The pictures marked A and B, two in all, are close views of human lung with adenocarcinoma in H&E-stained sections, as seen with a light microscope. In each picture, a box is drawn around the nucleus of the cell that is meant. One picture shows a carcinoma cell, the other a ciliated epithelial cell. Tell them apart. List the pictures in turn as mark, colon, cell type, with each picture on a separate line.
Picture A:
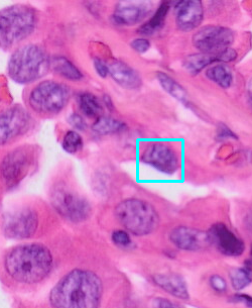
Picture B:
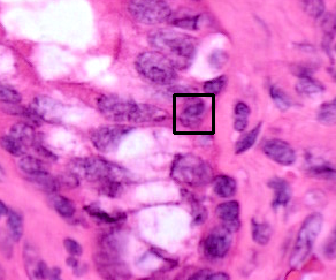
A: carcinoma cell
B: ciliated epithelial cell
